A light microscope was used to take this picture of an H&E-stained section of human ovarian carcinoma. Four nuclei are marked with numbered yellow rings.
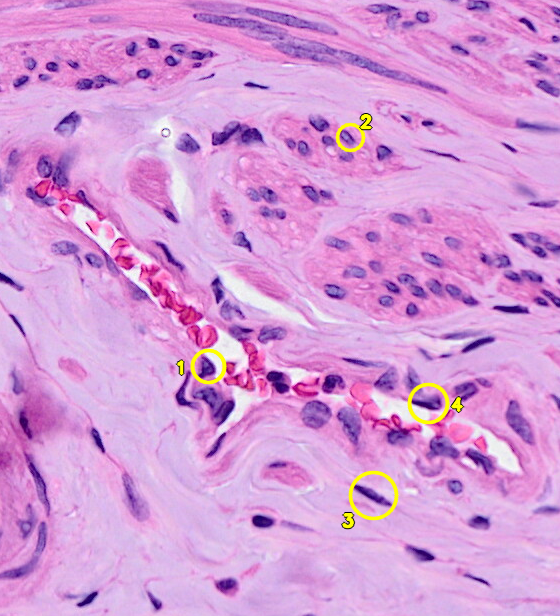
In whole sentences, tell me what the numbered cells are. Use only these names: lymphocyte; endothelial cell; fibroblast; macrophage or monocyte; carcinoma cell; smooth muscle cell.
Cell 1 is an endothelial cell, cell 2 is a smooth muscle cell, cell 3 is a fibroblast and cell 4 is an endothelial cell.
